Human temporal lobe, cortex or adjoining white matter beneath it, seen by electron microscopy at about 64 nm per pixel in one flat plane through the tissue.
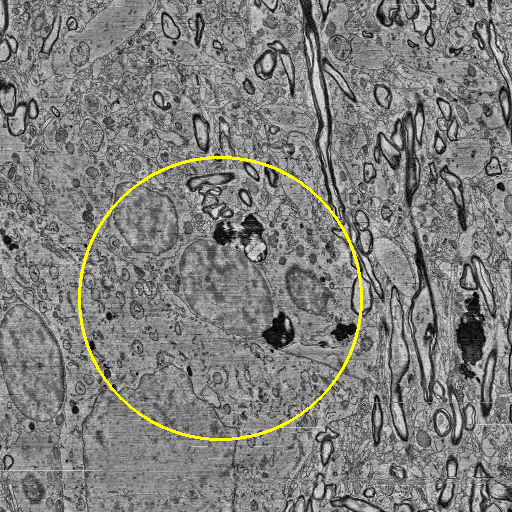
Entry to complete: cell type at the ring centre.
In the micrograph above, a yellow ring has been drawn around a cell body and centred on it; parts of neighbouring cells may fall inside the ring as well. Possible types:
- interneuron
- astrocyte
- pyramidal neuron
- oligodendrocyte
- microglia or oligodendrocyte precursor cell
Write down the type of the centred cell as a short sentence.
The ring is centred on an oligodendrocyte.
